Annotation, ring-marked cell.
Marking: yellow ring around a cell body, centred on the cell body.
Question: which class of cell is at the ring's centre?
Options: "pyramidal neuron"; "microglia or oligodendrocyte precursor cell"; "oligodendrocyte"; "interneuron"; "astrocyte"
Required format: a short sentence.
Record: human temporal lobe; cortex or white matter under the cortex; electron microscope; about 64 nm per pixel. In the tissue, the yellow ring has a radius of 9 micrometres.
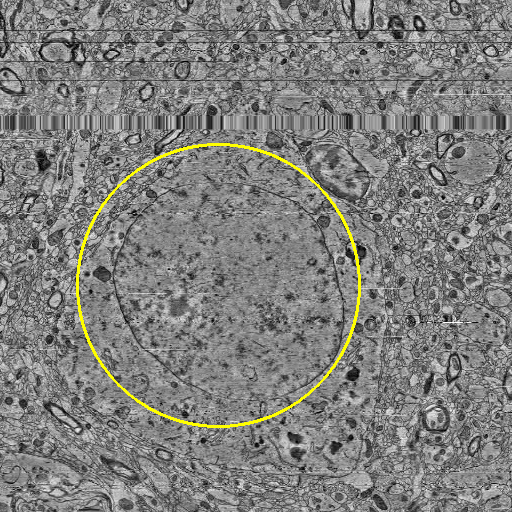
At the ring's centre is a pyramidal neuron.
